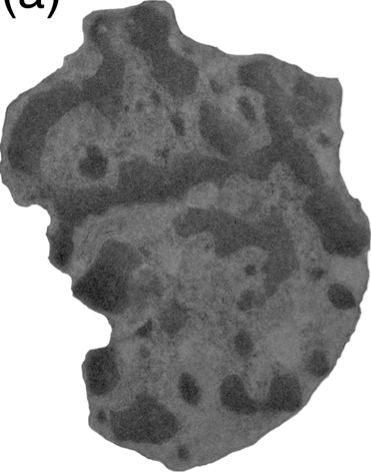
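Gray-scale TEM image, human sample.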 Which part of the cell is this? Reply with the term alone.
nucleus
